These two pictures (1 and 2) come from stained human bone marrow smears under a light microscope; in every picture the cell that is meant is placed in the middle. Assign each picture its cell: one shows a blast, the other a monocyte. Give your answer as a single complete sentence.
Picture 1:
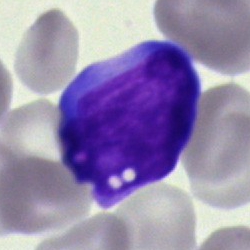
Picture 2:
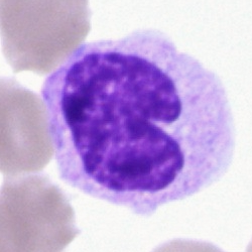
It is picture 1 that shows a blast, and picture 2 that shows a monocyte.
